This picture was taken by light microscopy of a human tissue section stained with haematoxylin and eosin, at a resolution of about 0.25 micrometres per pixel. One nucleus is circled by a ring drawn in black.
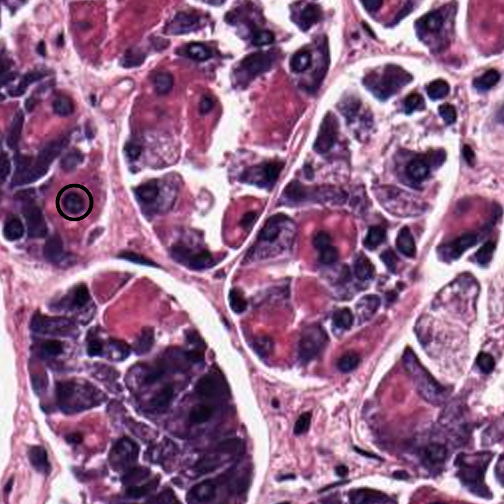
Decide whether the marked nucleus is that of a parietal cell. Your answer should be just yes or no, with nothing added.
yes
